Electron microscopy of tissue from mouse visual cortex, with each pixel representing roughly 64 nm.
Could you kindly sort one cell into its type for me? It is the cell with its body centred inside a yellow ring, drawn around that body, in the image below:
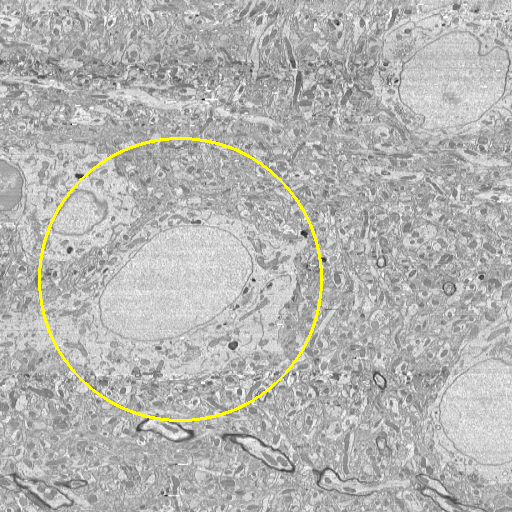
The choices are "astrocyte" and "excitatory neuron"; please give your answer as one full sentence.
The cell whose body lies centred in the yellow ring here is an excitatory neuron.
